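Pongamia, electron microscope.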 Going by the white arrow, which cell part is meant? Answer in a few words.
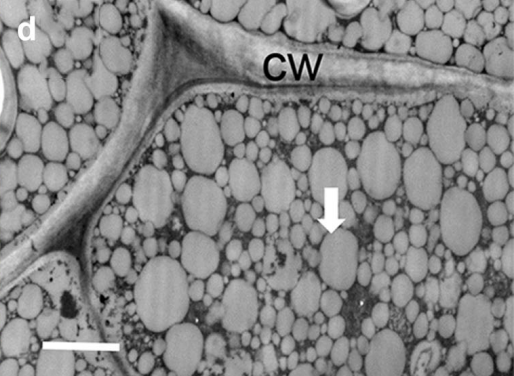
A: Oil bodies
